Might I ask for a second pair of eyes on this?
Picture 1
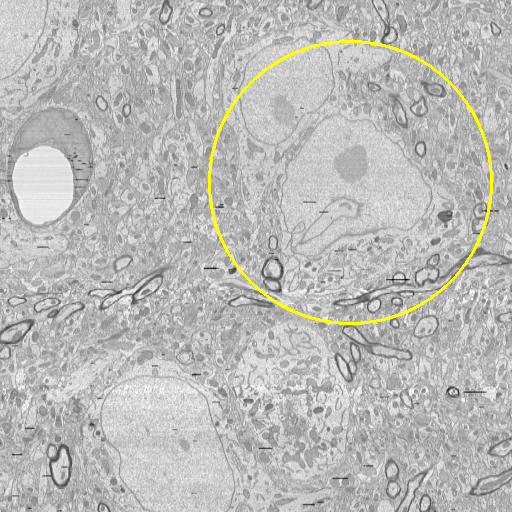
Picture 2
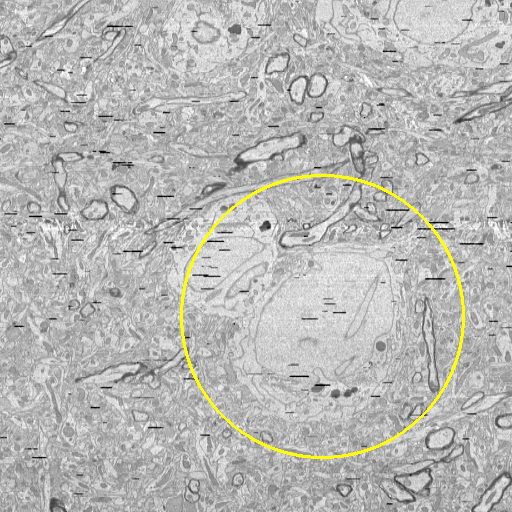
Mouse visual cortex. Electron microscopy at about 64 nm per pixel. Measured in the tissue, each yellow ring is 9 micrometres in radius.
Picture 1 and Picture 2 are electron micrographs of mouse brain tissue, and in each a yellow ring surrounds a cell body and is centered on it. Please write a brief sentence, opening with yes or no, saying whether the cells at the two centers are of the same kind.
Yes, the cells are of the same kind.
